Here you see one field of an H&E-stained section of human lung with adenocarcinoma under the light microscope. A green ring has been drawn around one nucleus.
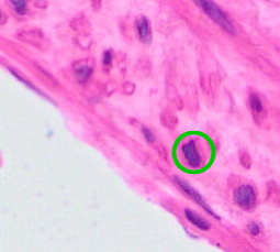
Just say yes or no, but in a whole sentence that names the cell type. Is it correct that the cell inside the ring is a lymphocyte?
No, that is wrong: the cell inside the ring is a smooth muscle cell or pericyte, not a lymphocyte.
